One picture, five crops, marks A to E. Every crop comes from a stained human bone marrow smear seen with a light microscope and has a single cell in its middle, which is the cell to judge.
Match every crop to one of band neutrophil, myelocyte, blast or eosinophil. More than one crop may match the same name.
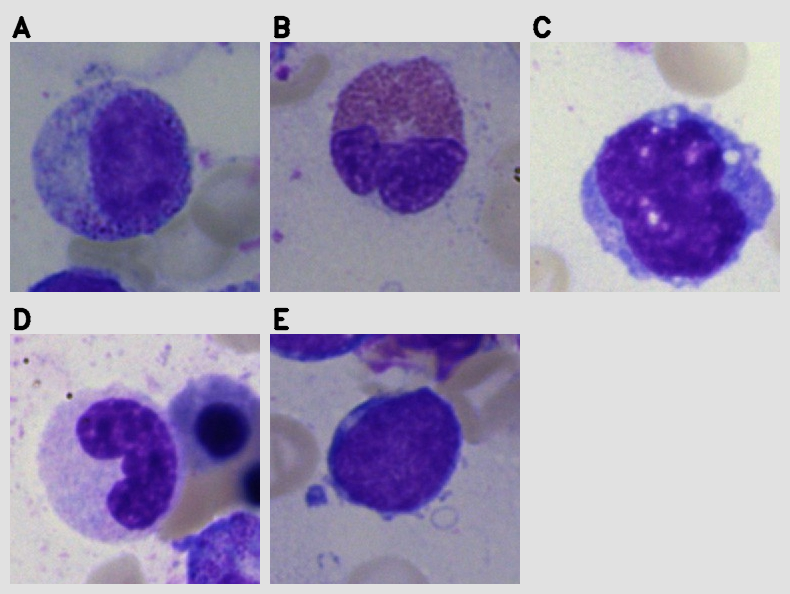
A: myelocyte
B: eosinophil
C: blast
D: band neutrophil
E: blast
